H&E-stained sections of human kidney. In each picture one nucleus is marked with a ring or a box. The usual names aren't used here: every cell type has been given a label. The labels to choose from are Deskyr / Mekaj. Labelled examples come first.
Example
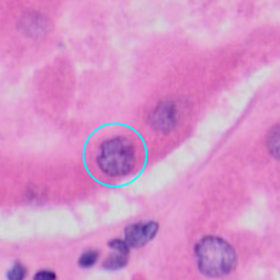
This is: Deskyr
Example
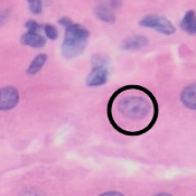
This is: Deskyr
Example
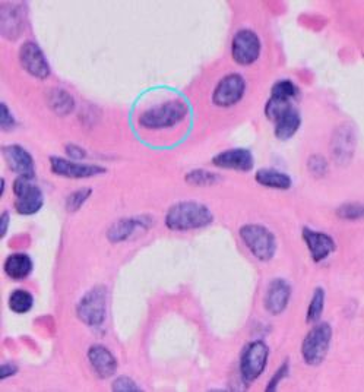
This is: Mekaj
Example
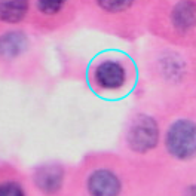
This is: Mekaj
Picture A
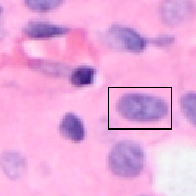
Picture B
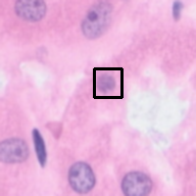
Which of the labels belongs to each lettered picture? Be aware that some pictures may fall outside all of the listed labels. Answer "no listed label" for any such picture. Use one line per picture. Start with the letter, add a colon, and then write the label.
A: no listed label
B: Deskyr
